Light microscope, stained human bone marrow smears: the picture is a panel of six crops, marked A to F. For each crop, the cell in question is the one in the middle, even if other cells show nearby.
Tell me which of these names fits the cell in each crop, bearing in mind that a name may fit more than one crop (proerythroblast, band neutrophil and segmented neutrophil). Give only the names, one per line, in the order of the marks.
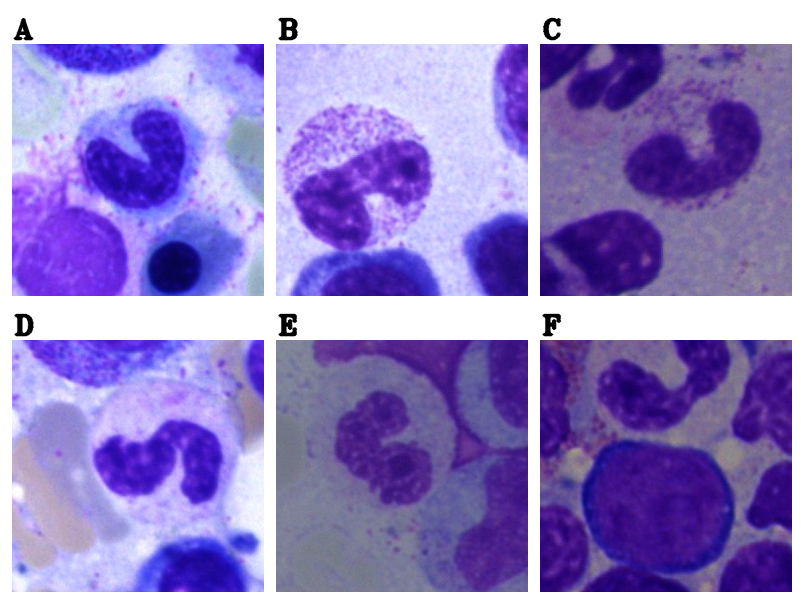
band neutrophil
band neutrophil
band neutrophil
segmented neutrophil
band neutrophil
proerythroblast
